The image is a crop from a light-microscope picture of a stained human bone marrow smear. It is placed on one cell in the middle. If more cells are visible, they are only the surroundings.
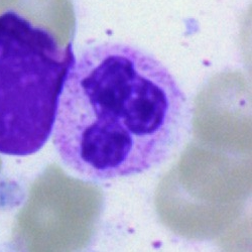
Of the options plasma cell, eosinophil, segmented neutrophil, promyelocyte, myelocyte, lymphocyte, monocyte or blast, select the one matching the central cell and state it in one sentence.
On this slide crop, the central cell is a segmented neutrophil.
